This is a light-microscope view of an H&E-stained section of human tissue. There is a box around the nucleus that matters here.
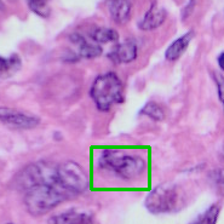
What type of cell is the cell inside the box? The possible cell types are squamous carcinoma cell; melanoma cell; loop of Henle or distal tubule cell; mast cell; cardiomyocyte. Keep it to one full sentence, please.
The cell type of the cell inside the box is that of a melanoma cell.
